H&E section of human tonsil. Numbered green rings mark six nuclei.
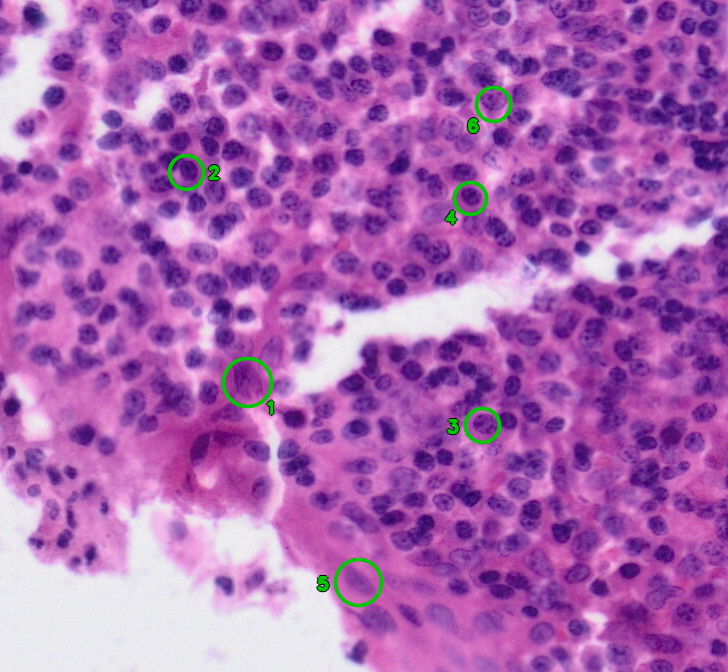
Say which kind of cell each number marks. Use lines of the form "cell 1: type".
cell 1: squamous epithelial cell
cell 2: plasma cell
cell 3: plasma cell
cell 4: plasma cell
cell 5: squamous epithelial cell
cell 6: plasma cell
